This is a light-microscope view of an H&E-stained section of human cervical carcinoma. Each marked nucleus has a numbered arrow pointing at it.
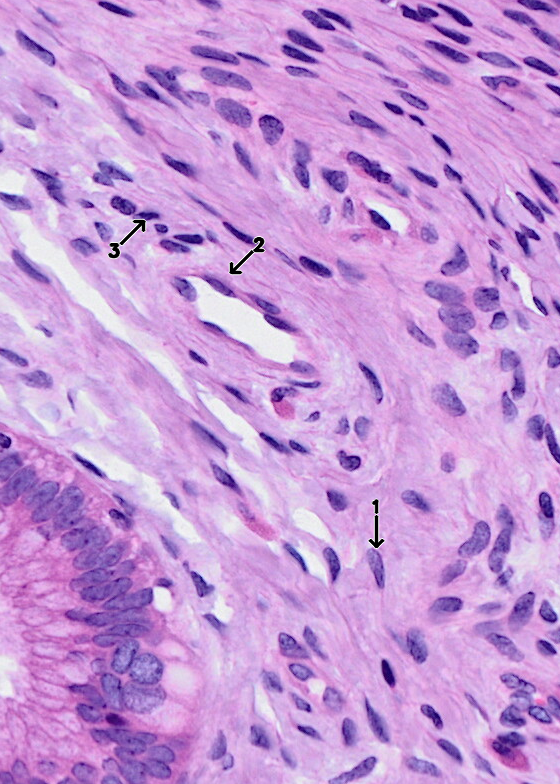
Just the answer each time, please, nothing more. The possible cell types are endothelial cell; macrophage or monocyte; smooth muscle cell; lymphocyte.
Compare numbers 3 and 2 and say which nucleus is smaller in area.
3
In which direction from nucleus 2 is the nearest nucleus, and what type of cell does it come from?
an endothelial cell to the left of nucleus 2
